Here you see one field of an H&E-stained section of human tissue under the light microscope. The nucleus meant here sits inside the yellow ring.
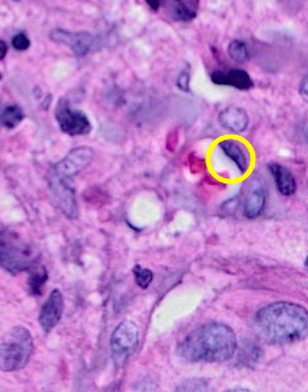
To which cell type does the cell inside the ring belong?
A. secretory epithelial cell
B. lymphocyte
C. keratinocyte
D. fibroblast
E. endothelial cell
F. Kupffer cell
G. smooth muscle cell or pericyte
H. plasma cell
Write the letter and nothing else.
E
